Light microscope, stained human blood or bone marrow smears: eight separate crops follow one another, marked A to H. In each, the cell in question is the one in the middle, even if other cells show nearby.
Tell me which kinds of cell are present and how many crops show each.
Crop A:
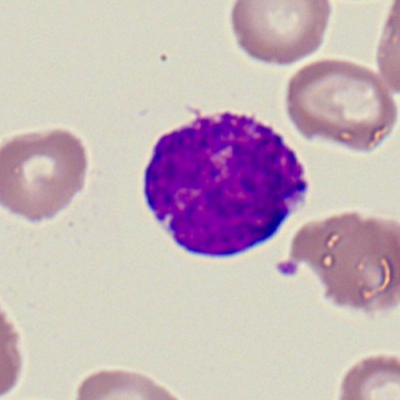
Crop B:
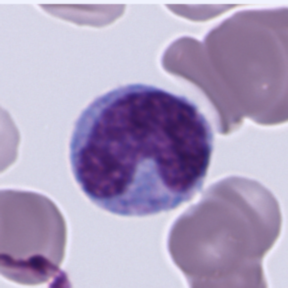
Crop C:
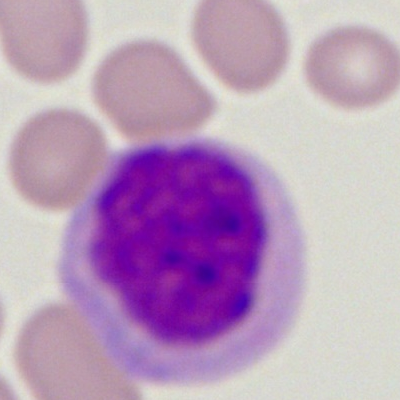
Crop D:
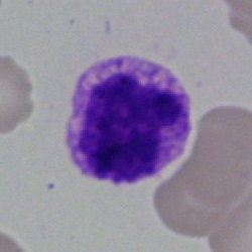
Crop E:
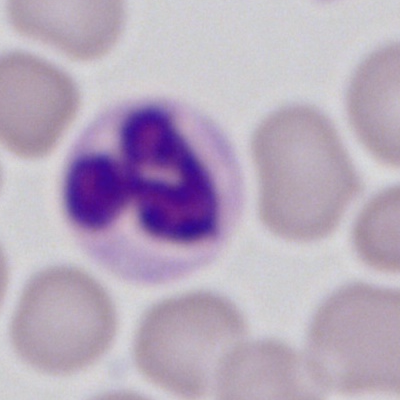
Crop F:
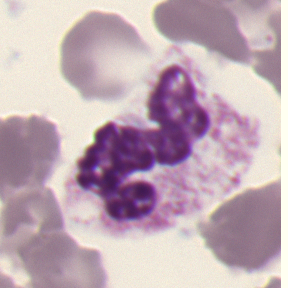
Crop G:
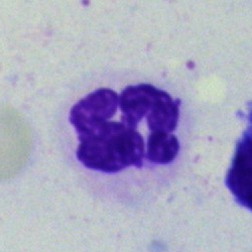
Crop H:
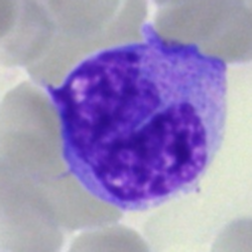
monocyte: 3
neutrophil: 3
basophil: 2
